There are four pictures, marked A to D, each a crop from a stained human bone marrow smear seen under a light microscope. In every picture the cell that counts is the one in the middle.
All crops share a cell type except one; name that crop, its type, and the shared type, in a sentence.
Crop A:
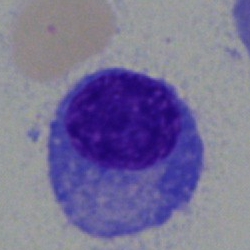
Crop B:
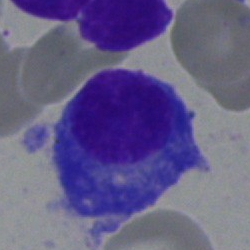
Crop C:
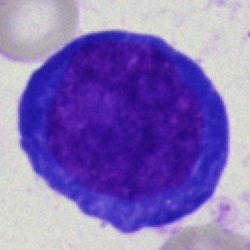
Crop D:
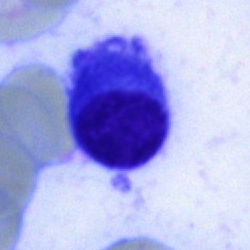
The different one is crop C, which is a proerythroblast; the rest all show plasma cells.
